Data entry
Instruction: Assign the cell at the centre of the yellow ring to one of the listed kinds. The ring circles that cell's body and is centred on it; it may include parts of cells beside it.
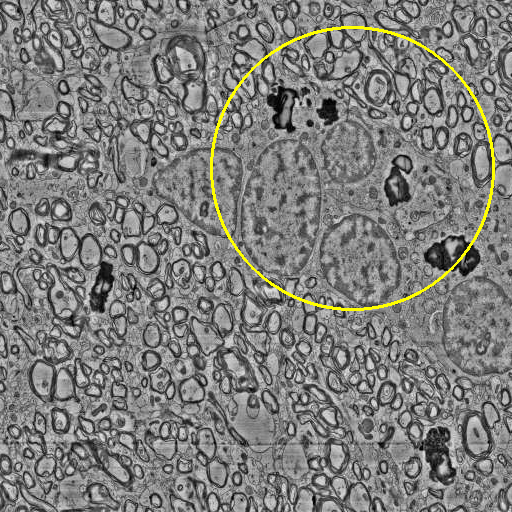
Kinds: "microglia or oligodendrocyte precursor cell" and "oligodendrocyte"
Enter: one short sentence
The centre of the ring falls on an oligodendrocyte.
